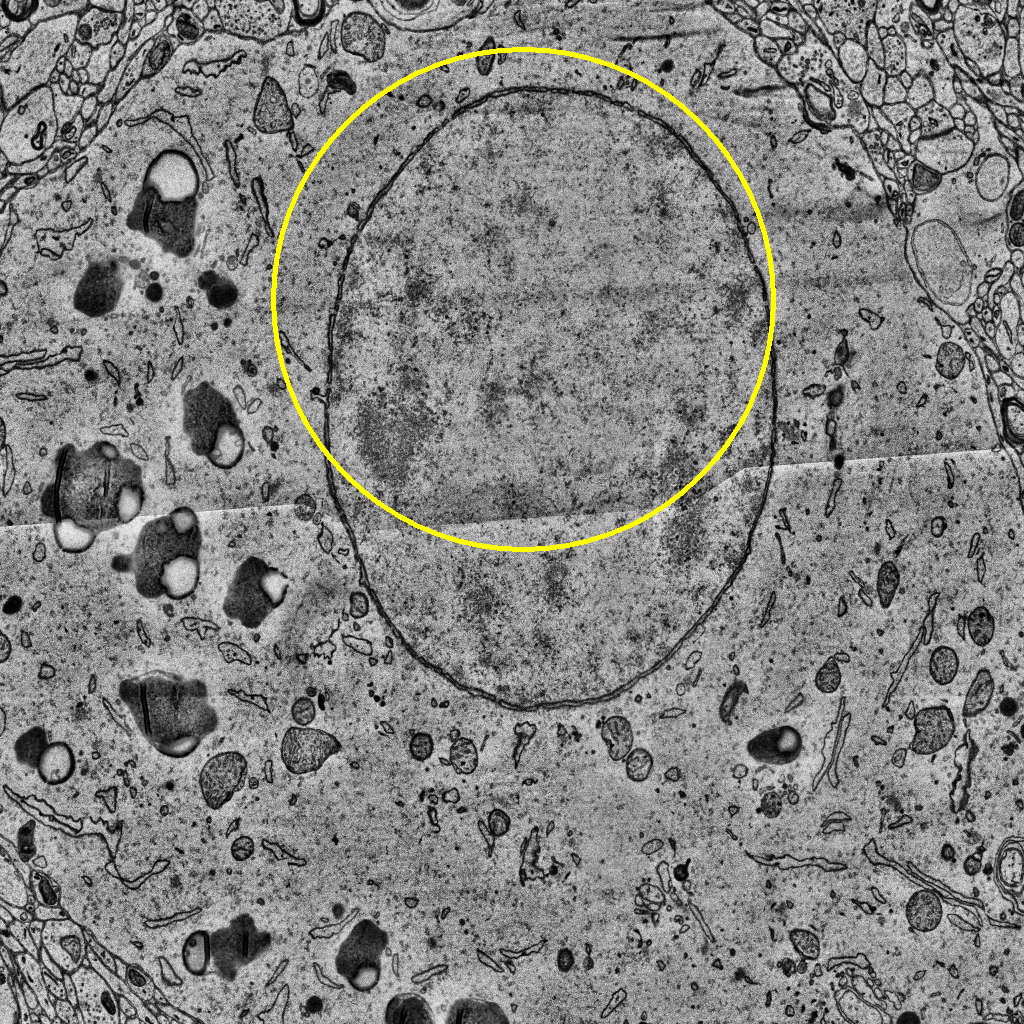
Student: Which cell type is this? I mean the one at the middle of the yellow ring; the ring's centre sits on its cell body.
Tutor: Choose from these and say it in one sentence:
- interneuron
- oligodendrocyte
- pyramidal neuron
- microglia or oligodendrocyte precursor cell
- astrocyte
The cell at the ring's centre is a pyramidal neuron.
